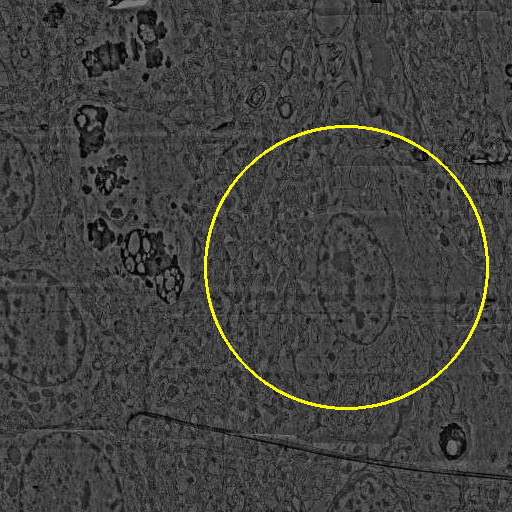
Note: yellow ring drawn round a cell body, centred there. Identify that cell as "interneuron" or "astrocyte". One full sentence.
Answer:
The cell in the middle of the ring is an astrocyte.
